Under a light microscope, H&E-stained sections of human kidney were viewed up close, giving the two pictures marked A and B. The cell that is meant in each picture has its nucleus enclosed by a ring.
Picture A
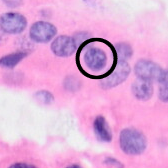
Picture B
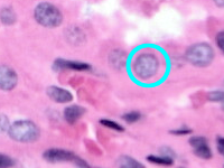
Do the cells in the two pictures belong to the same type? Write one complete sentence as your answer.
No, they differ: the cell is a collecting duct cell in picture A and a “loop of Henle or distal tubule cell” in picture B.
